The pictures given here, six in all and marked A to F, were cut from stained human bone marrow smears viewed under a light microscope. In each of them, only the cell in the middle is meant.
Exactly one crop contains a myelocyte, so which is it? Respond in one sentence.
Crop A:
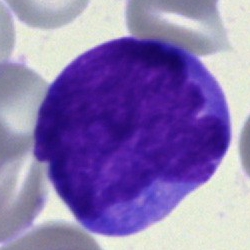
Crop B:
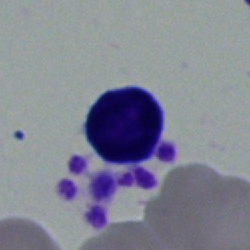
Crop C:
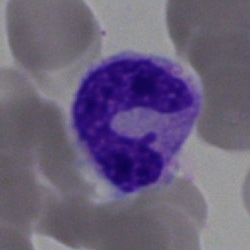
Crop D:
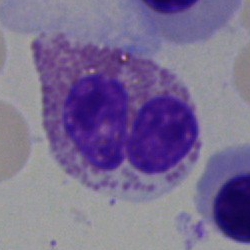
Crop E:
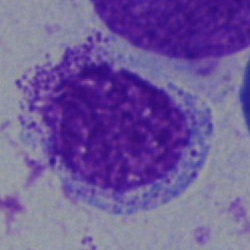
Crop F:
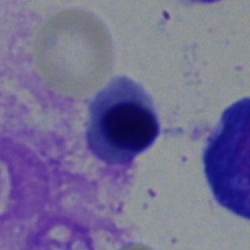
Among the crops given, only crop E shows a myelocyte.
